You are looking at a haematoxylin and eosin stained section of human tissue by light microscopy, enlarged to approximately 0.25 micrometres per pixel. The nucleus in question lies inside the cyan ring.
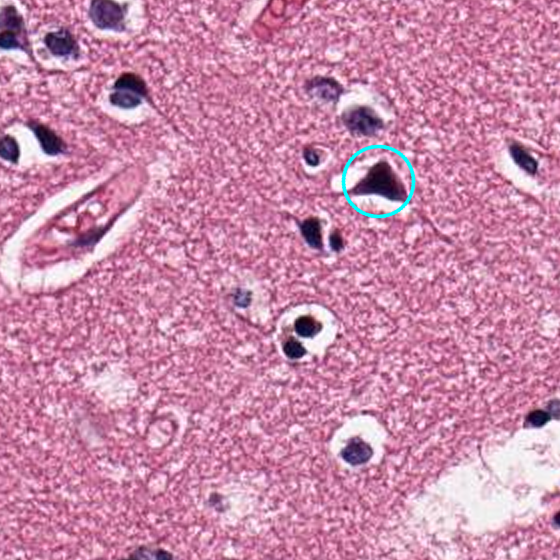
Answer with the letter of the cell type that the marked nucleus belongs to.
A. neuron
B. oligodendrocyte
A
